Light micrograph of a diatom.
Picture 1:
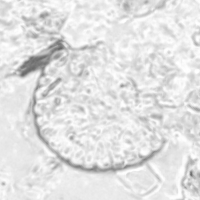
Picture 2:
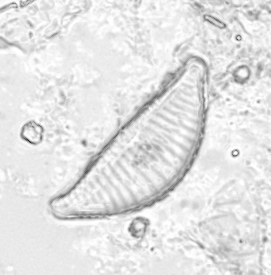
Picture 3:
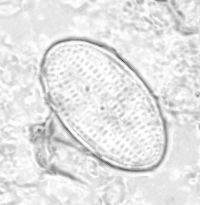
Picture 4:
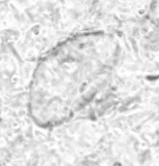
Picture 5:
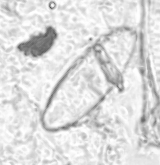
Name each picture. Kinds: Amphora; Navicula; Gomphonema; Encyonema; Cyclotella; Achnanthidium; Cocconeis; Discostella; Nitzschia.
1. Cyclotella
2. Encyonema
3. Cocconeis
4. Amphora
5. Achnanthidium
